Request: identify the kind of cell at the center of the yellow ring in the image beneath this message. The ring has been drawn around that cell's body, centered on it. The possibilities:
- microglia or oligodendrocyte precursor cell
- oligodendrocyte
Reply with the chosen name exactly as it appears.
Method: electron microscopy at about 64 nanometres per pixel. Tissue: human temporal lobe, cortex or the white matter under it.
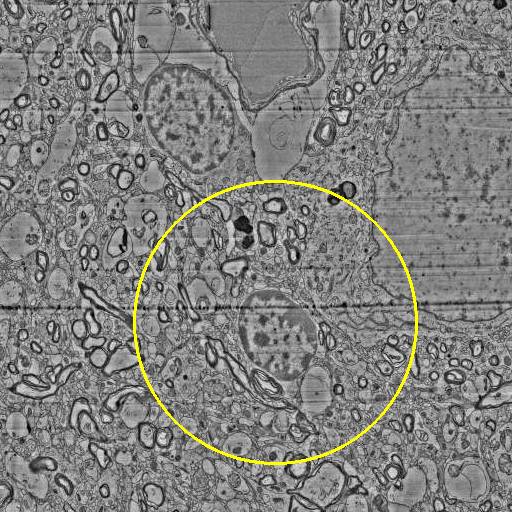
microglia or oligodendrocyte precursor cell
